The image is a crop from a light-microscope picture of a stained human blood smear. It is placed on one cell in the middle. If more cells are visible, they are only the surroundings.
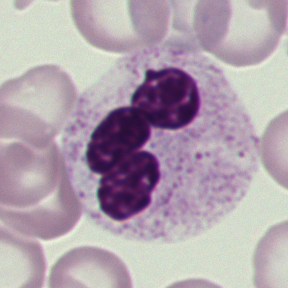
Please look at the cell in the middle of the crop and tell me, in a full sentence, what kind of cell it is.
The cell in the exact centre of the crop is a neutrophil.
